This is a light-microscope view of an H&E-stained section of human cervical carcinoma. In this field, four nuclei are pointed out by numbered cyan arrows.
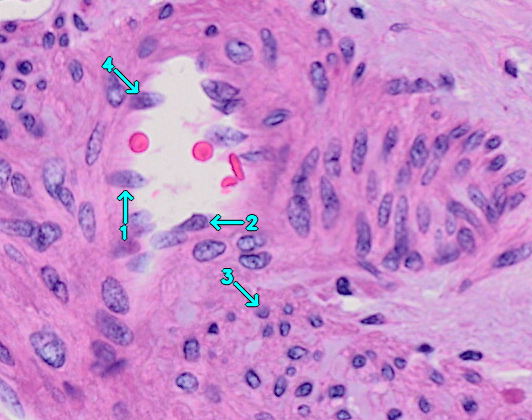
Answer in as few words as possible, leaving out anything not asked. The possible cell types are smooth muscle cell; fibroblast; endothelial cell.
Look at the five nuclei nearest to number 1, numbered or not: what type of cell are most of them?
smooth muscle cell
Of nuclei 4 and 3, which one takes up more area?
4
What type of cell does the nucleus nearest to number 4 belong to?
smooth muscle cell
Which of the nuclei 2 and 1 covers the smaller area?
2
